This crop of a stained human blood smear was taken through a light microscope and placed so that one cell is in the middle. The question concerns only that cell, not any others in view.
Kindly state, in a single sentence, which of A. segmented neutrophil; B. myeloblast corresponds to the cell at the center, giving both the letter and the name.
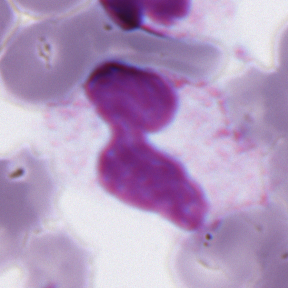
Identification: the cell in the middle is a segmented neutrophil, matching option A.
